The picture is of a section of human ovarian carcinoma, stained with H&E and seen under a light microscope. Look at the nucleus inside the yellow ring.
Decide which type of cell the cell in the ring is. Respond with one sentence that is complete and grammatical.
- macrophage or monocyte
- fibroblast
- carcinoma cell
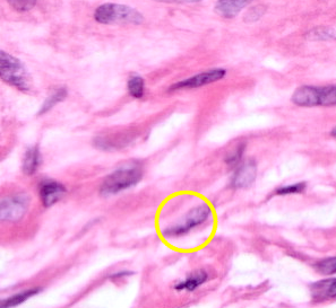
Cell type answer for this item: the cell in the ring is a fibroblast.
